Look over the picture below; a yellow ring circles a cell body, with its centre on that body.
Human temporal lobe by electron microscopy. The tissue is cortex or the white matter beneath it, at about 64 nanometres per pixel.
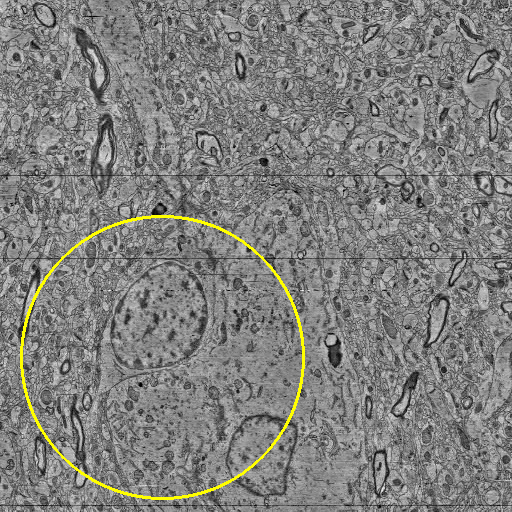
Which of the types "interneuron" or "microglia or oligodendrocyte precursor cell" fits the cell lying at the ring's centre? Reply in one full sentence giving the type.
The picture shows a microglial cell or oligodendrocyte precursor cell at the centre of the yellow ring.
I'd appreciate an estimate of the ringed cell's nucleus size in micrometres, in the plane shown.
In this plane, roughly 7 by 6 micrometres.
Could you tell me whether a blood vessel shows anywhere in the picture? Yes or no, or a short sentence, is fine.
No, none appears.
